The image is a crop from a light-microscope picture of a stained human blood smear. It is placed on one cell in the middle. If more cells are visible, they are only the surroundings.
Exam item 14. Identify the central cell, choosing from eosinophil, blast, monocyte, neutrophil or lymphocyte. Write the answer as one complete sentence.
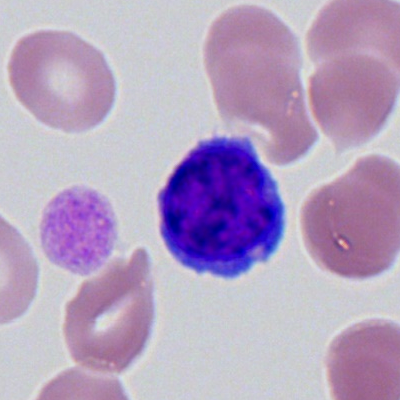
In the middle of this smear crop is a lymphocyte.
